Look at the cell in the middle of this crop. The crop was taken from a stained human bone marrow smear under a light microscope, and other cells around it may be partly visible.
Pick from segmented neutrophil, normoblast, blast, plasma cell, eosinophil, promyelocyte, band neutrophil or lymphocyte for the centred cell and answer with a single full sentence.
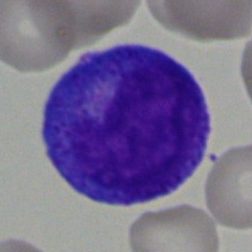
The cell centred in this crop is categorized as a promyelocyte.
